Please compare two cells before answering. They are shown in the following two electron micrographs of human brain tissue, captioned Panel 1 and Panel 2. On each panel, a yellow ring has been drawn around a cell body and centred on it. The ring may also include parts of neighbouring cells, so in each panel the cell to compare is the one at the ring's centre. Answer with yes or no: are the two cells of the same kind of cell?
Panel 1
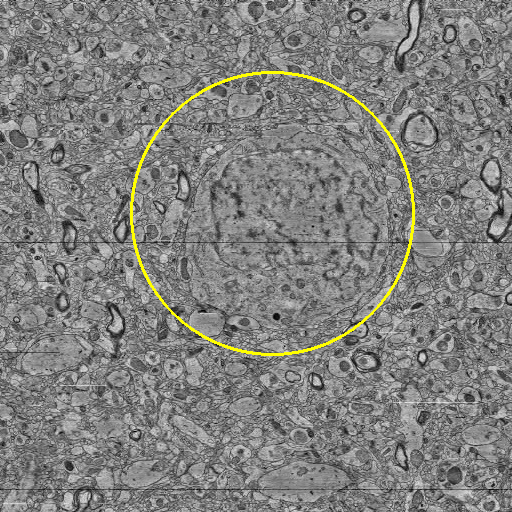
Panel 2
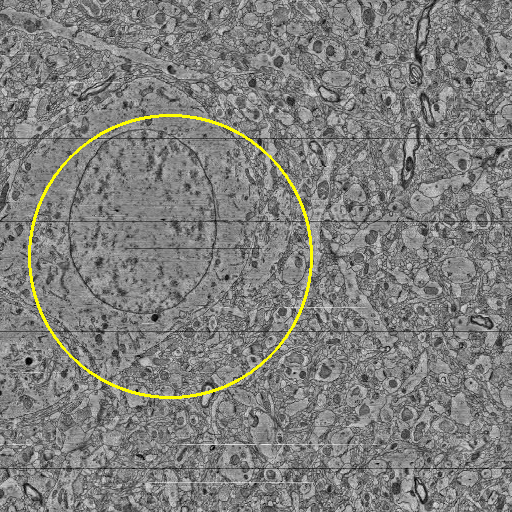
no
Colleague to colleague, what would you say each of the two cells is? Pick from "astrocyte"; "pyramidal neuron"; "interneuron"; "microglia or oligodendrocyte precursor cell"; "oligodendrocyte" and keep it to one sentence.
The cell in the first picture is an interneuron; the second picture's cell is a pyramidal neuron.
